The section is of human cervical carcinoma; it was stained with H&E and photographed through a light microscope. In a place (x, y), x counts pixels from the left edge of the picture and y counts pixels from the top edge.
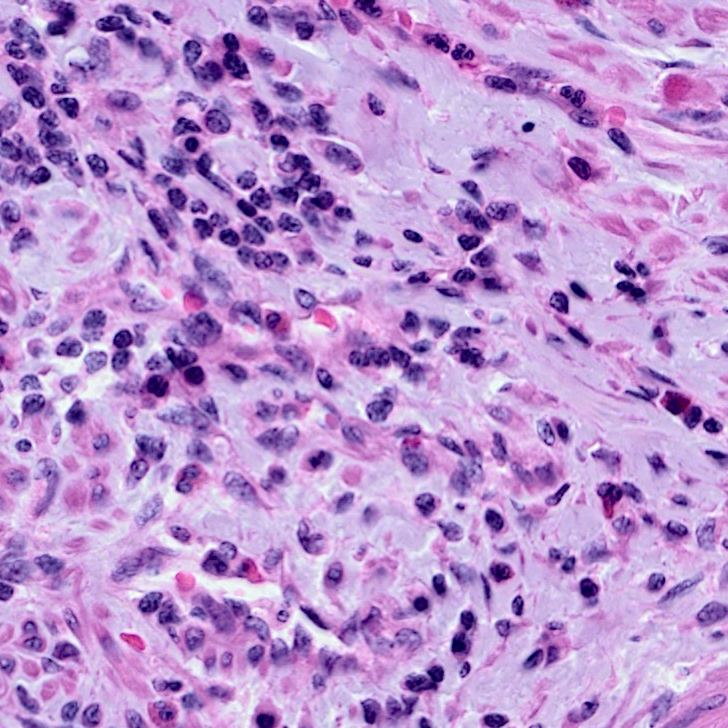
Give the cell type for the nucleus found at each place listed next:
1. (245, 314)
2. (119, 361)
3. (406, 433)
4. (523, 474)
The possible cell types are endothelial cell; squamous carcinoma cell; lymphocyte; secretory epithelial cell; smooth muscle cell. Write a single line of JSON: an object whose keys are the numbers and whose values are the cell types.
{"1": "endothelial cell", "2": "lymphocyte", "3": "endothelial cell", "4": "endothelial cell"}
